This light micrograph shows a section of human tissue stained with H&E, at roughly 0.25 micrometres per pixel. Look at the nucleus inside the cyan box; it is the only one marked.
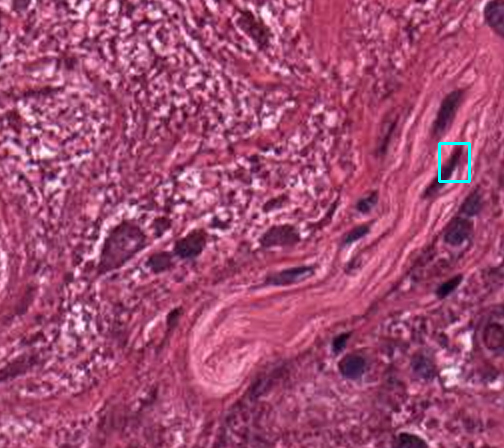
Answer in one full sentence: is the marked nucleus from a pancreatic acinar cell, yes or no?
No, the marked nucleus is not from a pancreatic acinar cell; a supporting cell is its source.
